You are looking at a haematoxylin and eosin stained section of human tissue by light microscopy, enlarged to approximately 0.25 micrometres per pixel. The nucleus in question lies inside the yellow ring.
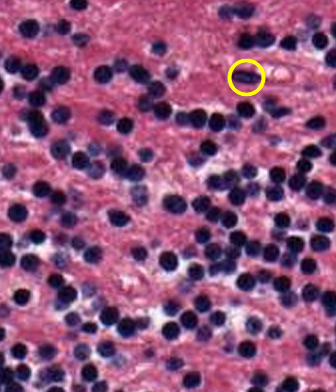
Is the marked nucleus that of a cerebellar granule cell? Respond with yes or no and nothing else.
no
